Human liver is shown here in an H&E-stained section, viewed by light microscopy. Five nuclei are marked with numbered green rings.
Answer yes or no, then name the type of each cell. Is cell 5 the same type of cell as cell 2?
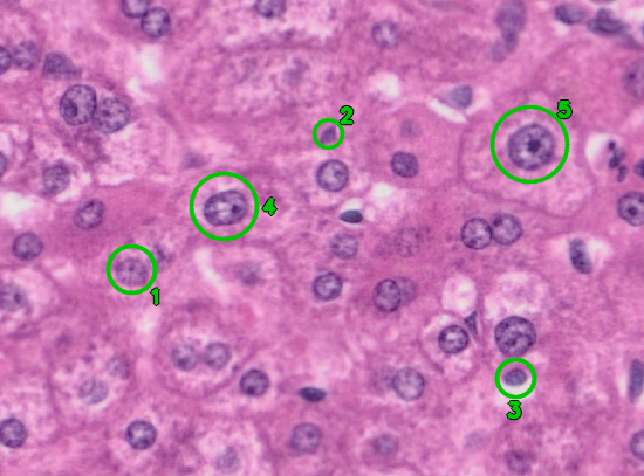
No, the identities are a hepatocyte for cell 5 and a fibroblast or stellate cell for cell 2.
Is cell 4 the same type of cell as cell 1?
Yes, cell number 4 and cell number 1 are both hepatocytes.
